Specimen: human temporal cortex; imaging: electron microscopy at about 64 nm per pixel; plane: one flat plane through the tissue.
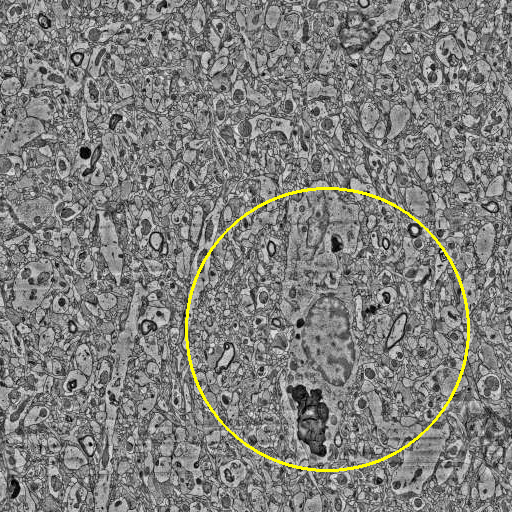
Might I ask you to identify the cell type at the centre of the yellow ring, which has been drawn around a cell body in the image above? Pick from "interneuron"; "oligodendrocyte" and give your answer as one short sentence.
The centre of the ring falls on an oligodendrocyte.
